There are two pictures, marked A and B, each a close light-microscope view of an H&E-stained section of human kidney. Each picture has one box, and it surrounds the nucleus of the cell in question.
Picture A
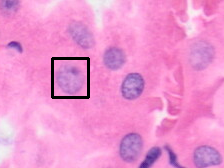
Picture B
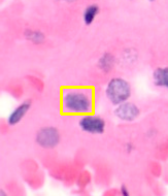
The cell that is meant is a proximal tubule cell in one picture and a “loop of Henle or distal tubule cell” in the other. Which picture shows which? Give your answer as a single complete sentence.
The cell in picture A is a proximal tubule cell, and the one in picture B is a “loop of Henle or distal tubule cell”.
